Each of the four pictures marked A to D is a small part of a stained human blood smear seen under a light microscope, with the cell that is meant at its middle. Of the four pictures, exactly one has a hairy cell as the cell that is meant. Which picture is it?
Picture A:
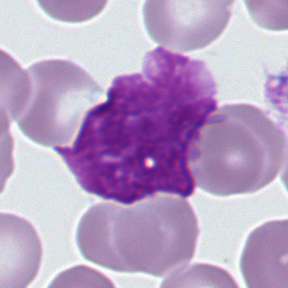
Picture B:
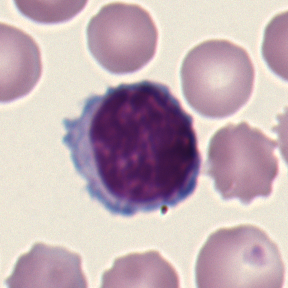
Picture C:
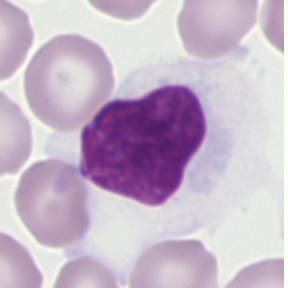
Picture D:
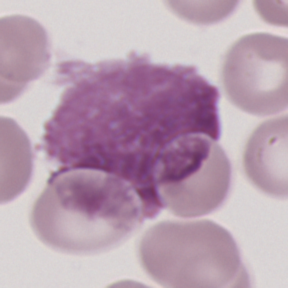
C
